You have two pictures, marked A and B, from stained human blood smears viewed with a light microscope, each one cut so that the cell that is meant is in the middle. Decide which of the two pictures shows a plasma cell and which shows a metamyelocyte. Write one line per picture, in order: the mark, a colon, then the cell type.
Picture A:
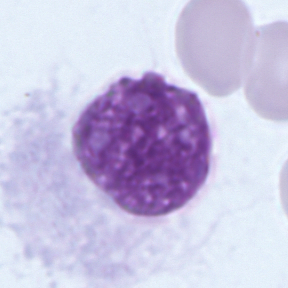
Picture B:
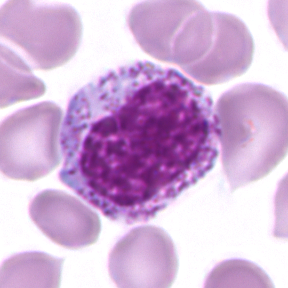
A: plasma cell
B: metamyelocyte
